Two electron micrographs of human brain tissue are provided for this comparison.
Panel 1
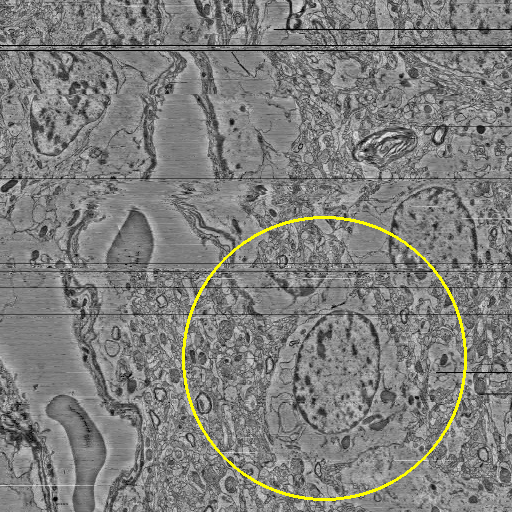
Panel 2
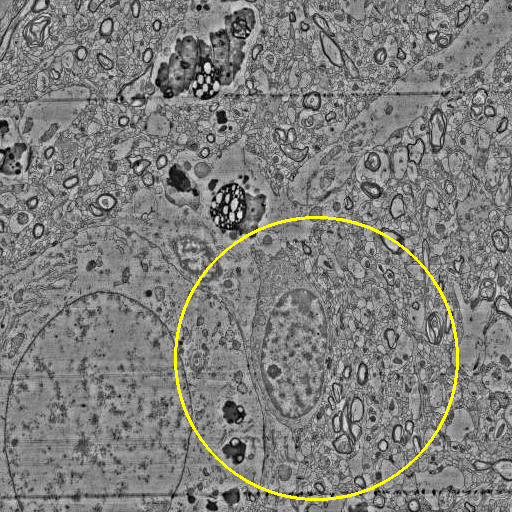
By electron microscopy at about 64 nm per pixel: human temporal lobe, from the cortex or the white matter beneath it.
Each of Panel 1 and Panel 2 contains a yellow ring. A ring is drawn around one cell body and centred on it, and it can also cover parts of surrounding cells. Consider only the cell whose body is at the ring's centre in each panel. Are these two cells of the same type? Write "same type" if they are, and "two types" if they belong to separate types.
two types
